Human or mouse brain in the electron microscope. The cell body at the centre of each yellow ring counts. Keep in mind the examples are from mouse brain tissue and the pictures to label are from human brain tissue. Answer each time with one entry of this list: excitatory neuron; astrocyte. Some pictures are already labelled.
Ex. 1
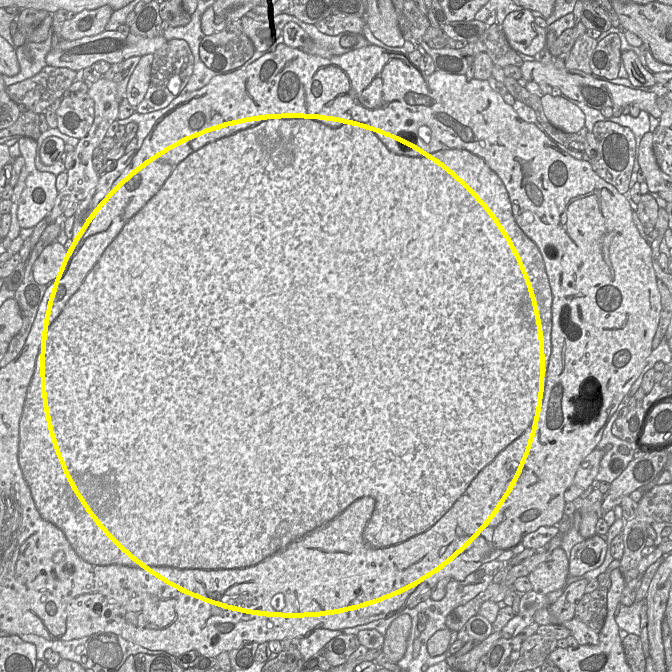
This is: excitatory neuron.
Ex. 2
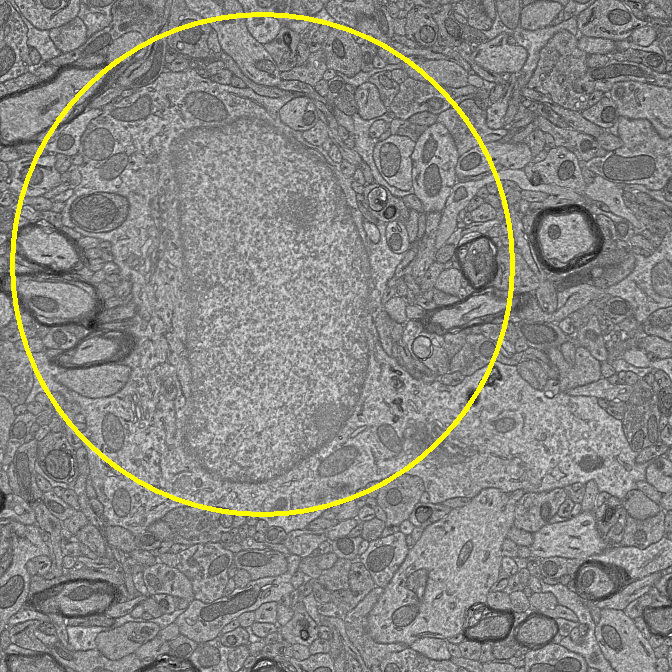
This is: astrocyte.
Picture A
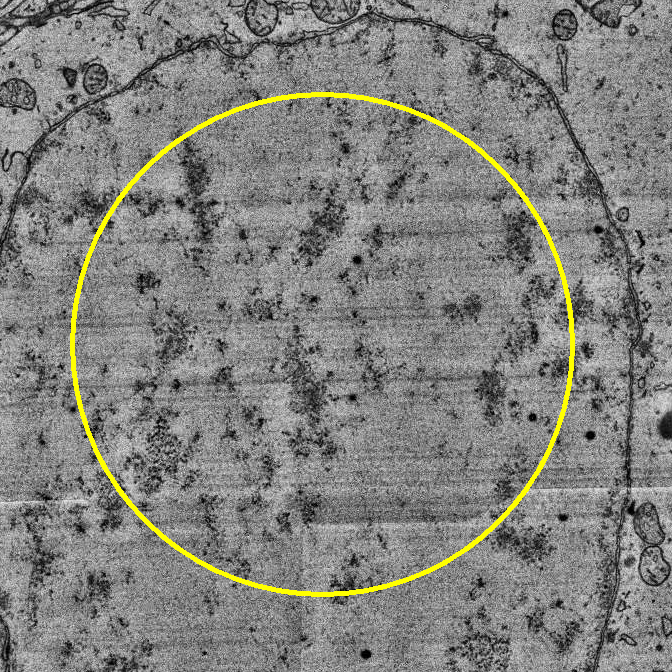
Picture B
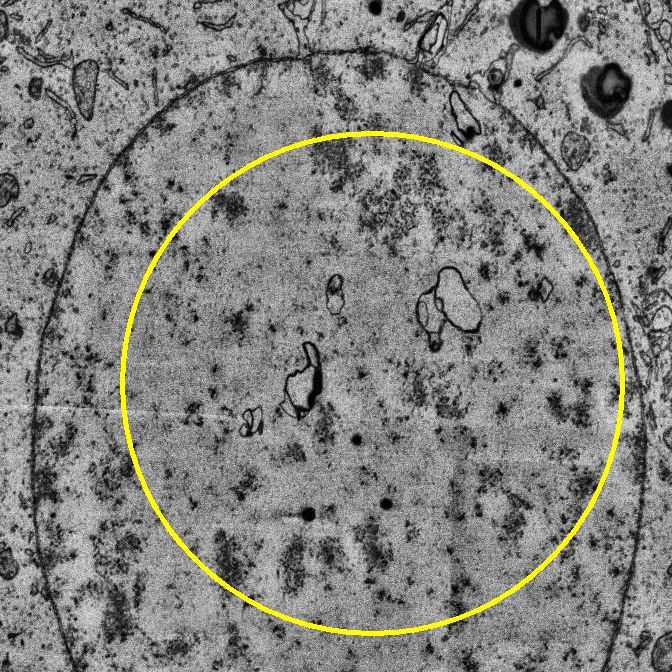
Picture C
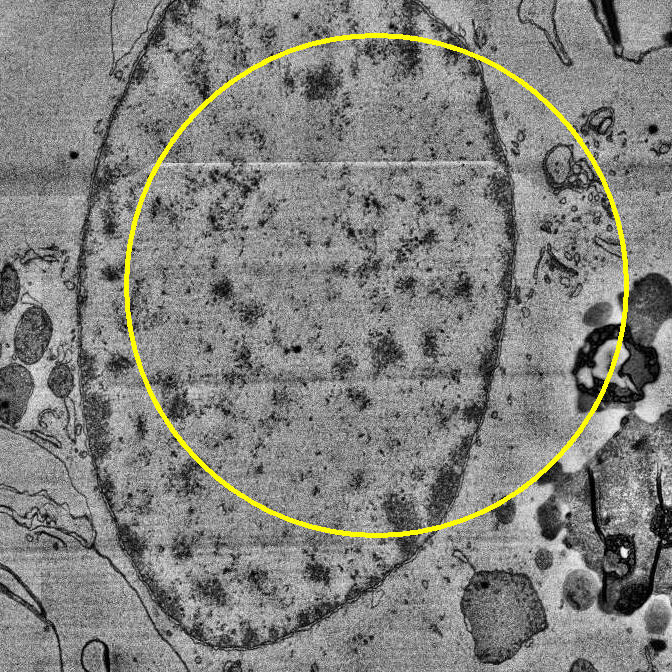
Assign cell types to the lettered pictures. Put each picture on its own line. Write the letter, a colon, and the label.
A: excitatory neuron.
B: excitatory neuron.
C: astrocyte.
